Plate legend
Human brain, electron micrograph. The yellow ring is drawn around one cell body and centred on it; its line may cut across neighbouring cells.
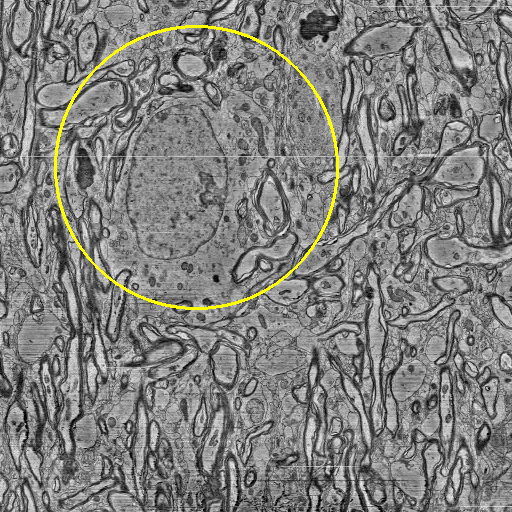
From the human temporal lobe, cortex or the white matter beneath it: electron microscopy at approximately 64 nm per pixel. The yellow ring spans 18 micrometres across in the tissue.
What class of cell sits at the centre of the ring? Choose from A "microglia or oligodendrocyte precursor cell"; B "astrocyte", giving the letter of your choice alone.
B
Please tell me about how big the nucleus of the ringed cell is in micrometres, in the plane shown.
The nucleus measures about 10 by 6 micrometres, so it is clearly longer than it is wide in this plane.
